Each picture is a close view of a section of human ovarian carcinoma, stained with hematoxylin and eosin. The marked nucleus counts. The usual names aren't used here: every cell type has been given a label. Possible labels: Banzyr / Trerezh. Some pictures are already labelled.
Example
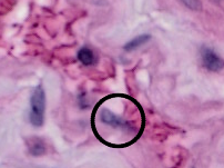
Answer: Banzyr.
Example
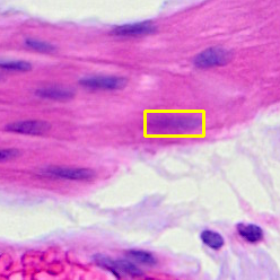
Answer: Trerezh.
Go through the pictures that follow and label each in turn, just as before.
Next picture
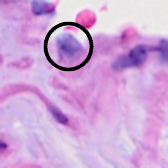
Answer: Banzyr.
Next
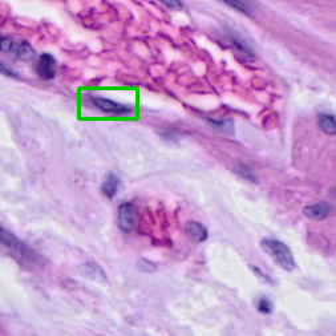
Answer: Banzyr.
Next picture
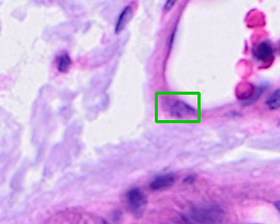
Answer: Banzyr.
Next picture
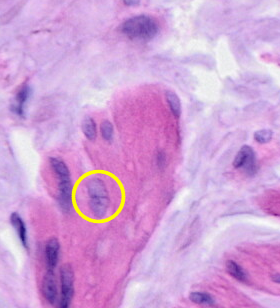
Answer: Trerezh.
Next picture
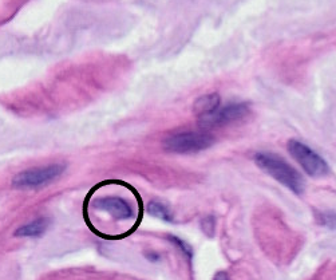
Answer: Banzyr.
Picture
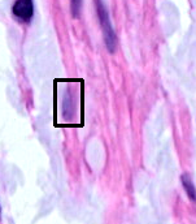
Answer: Trerezh.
